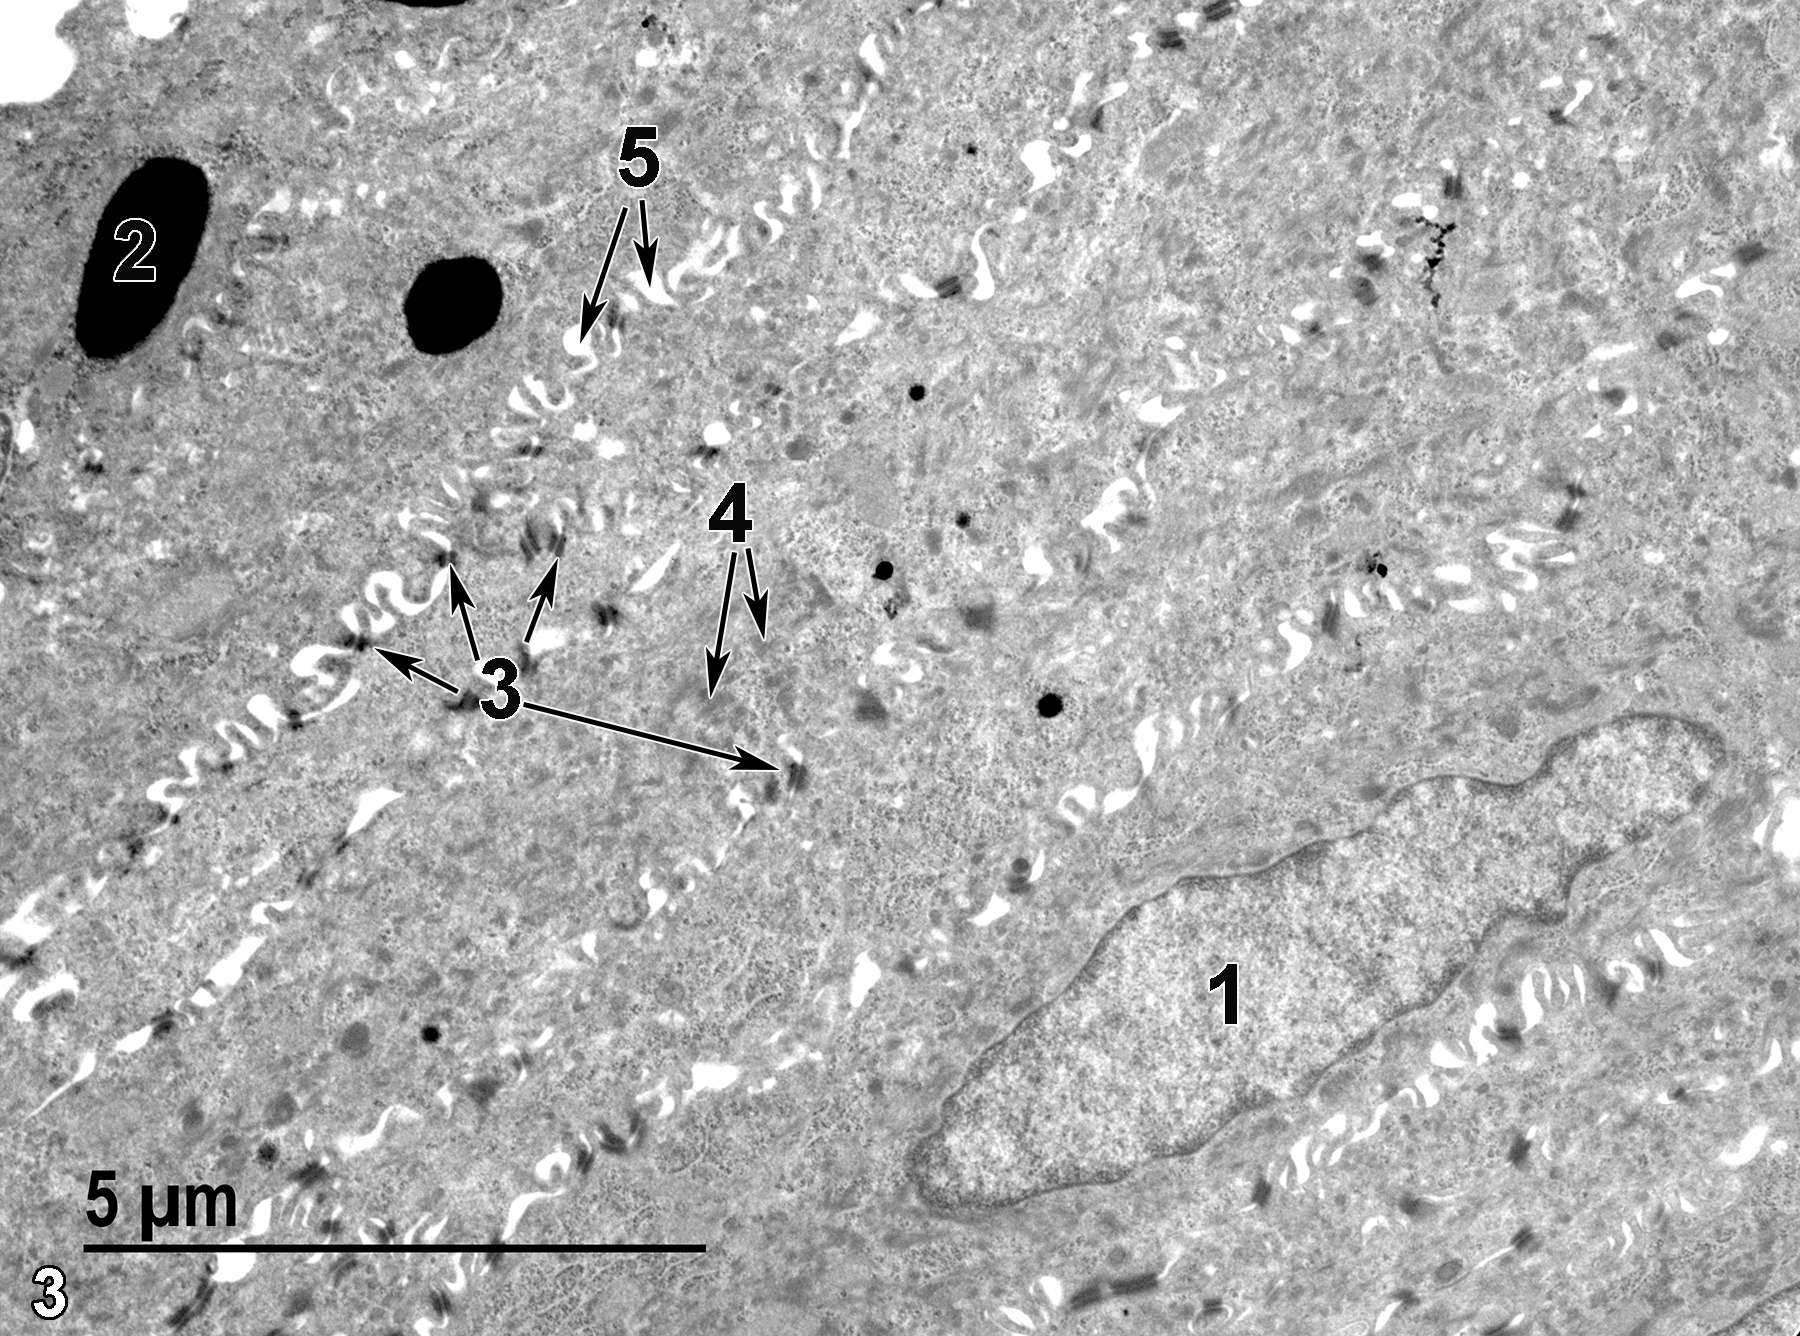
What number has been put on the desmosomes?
3.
